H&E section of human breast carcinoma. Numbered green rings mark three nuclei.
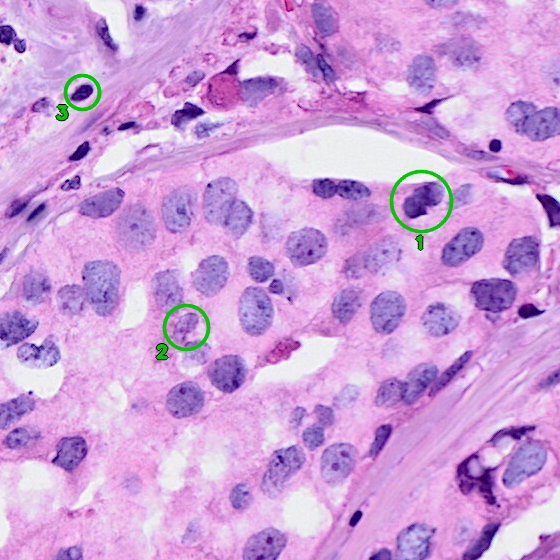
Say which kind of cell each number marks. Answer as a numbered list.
1. carcinoma cell
2. carcinoma cell
3. lymphocyte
